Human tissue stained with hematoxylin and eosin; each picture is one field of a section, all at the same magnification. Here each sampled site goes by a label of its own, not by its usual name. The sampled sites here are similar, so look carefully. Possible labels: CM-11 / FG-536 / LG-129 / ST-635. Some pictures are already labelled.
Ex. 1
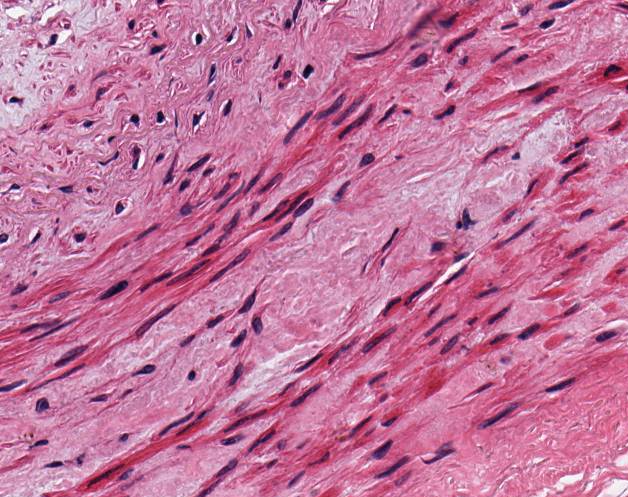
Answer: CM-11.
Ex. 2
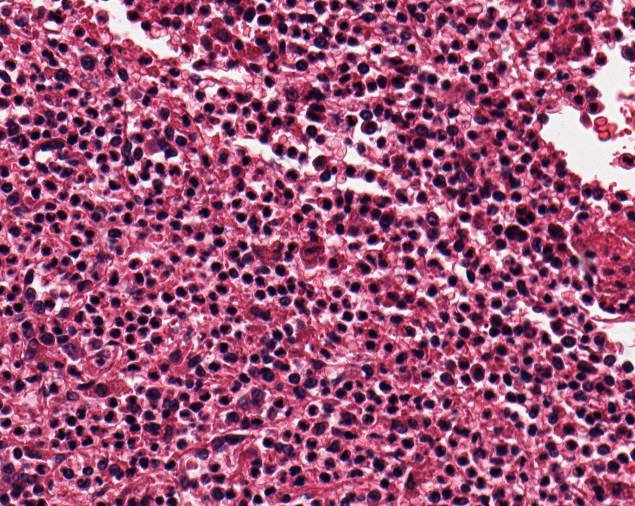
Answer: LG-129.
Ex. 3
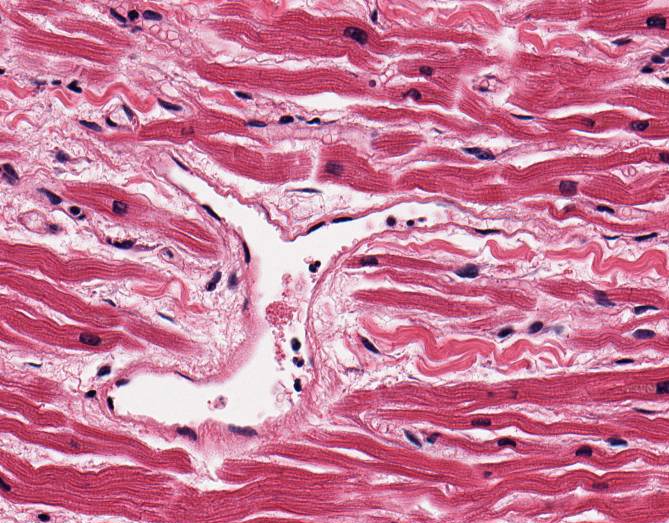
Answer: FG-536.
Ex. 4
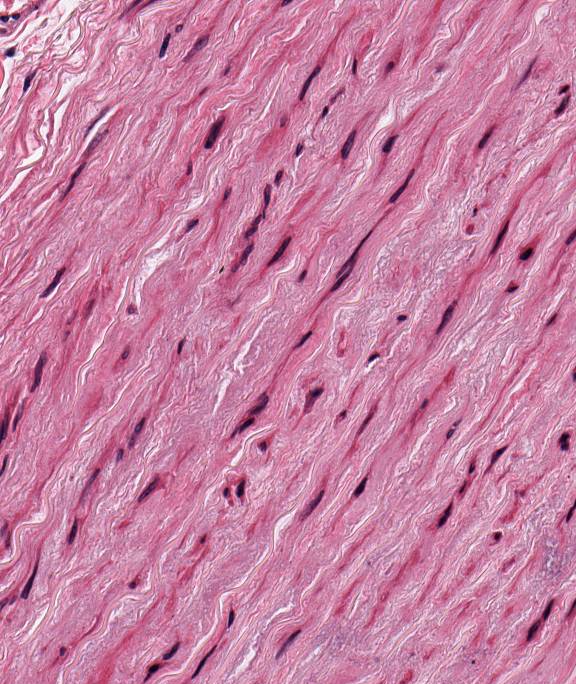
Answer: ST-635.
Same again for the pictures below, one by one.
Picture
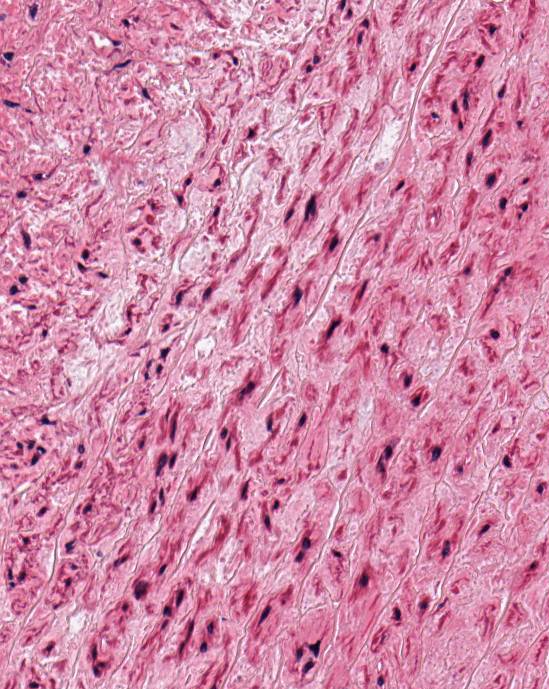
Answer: ST-635.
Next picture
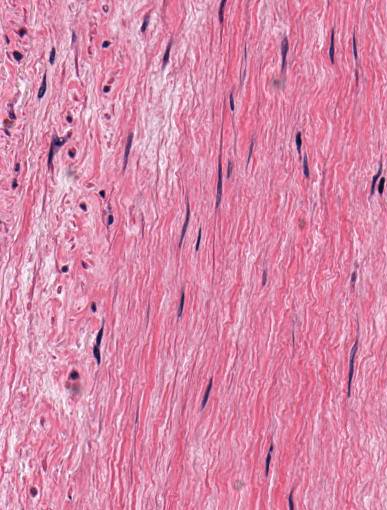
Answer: ST-635.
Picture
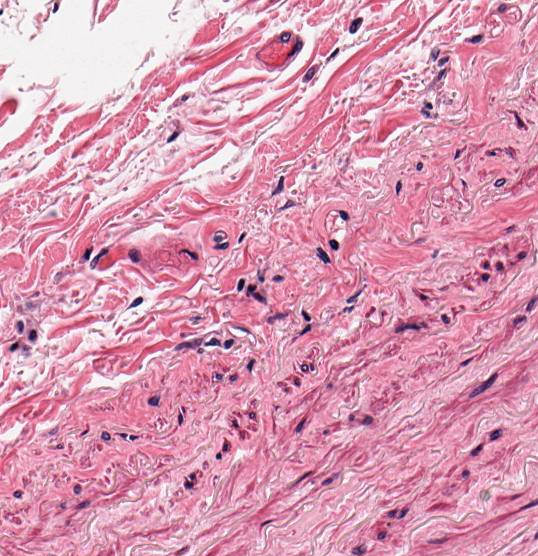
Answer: ST-635.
